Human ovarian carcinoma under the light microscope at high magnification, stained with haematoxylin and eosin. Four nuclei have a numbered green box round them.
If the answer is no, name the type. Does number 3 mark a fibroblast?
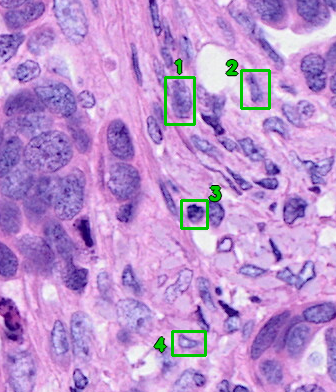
No, it is a lymphocyte.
